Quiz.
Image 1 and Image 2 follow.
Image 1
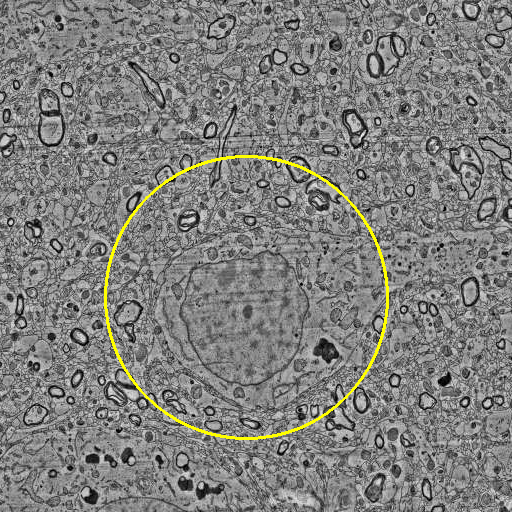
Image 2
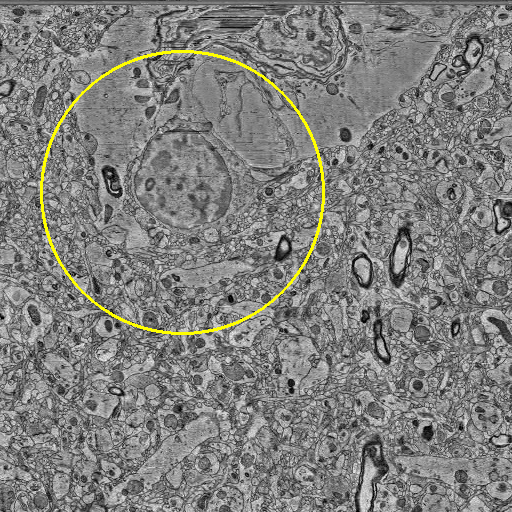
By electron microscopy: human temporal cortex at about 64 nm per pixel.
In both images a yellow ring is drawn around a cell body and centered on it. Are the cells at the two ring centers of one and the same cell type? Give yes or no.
no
